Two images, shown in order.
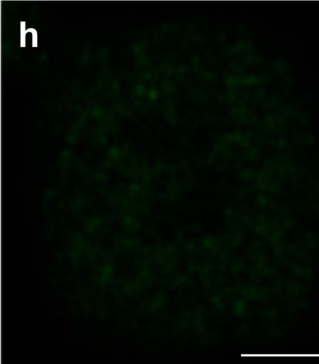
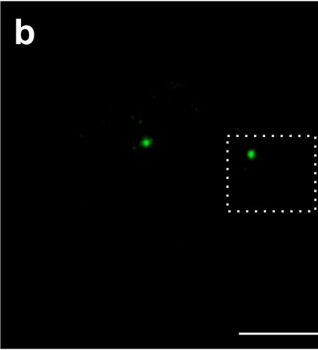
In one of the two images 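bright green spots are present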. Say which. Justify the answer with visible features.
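First image: only faint diffuse green haze, no bright spots. Second image: two distinct bright green spots on a dark background. So: the second image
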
